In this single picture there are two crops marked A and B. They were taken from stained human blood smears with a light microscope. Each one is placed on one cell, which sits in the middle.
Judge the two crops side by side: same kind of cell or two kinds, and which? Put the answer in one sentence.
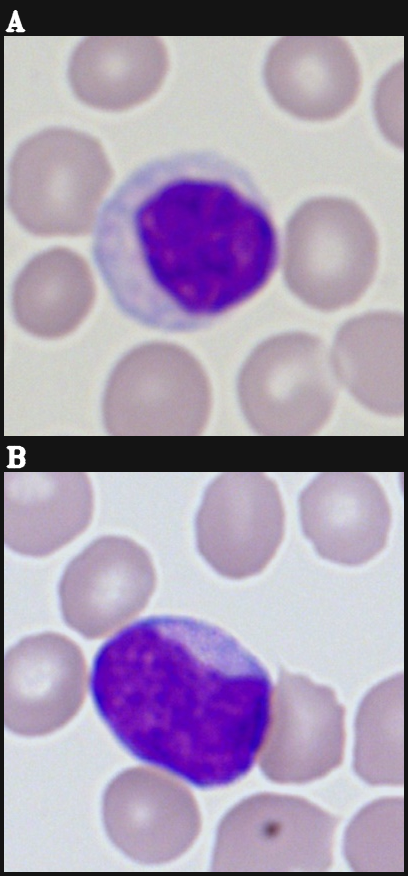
No, the middle of crop A holds a lymphocyte, and the middle of crop B holds a myeloblast.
